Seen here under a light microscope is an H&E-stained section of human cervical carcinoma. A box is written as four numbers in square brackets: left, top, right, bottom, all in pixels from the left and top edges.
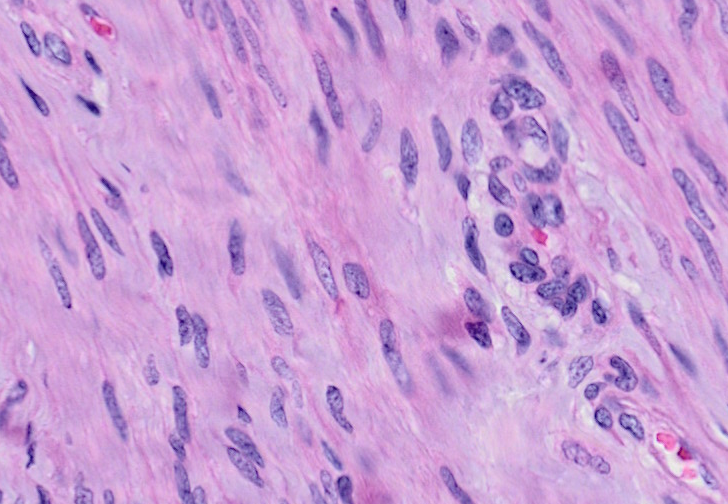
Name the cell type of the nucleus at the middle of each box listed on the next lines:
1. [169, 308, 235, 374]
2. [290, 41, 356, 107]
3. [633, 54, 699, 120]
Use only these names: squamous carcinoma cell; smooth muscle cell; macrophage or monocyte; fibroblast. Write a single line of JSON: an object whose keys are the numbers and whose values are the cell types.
{"1": "fibroblast", "2": "smooth muscle cell", "3": "smooth muscle cell"}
